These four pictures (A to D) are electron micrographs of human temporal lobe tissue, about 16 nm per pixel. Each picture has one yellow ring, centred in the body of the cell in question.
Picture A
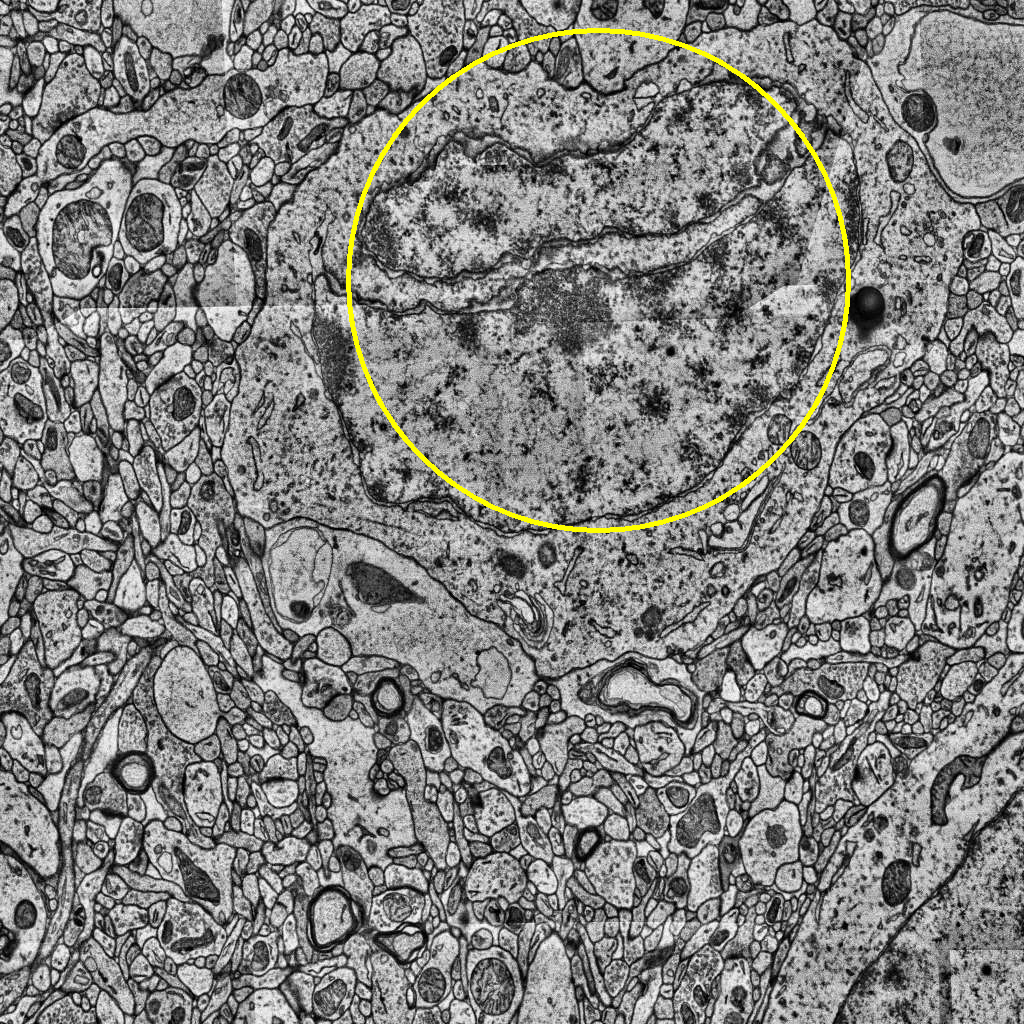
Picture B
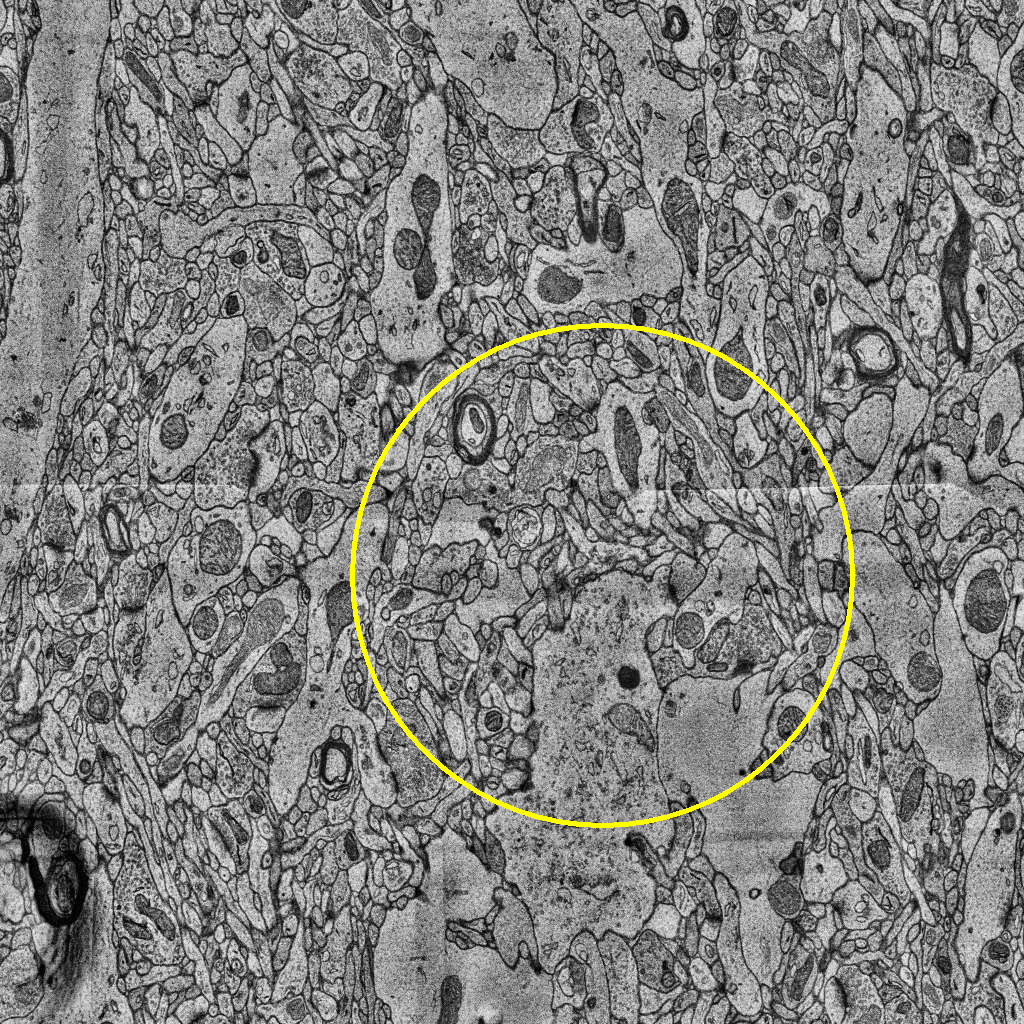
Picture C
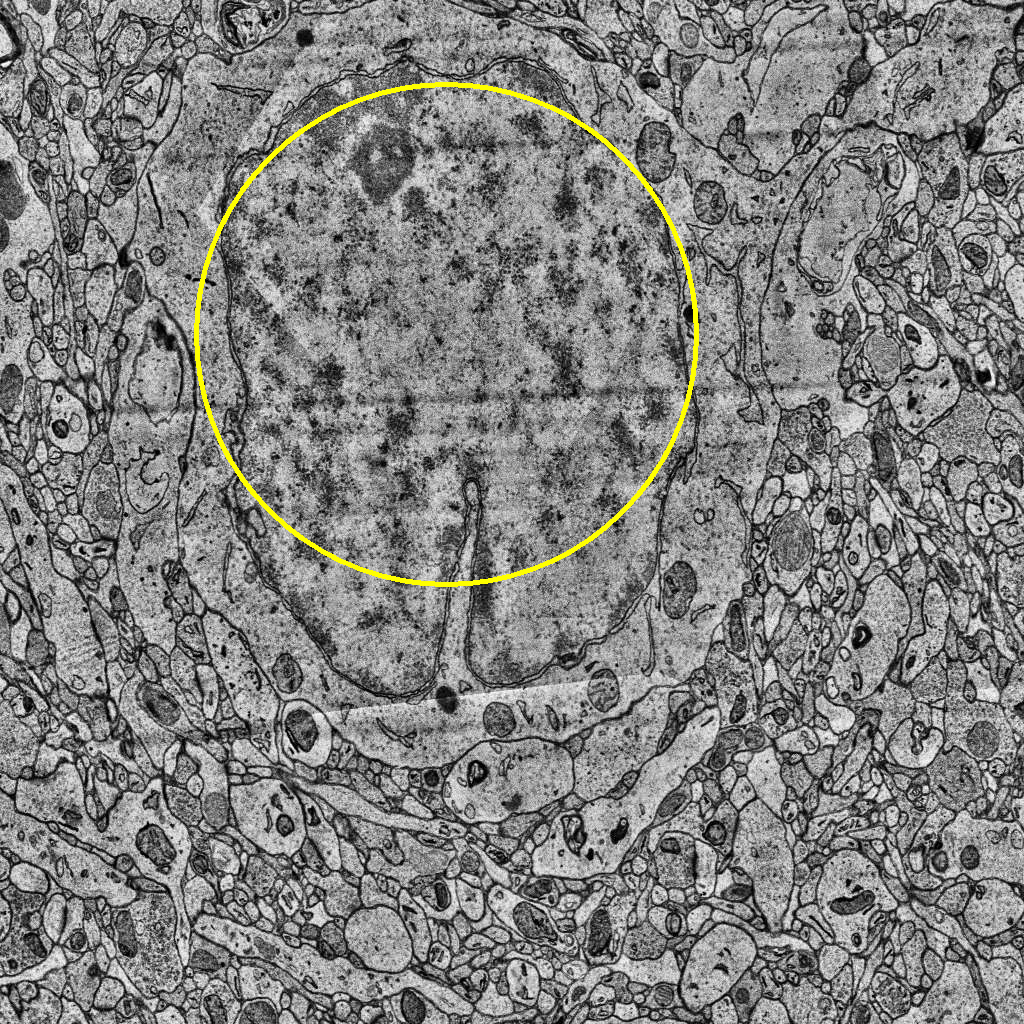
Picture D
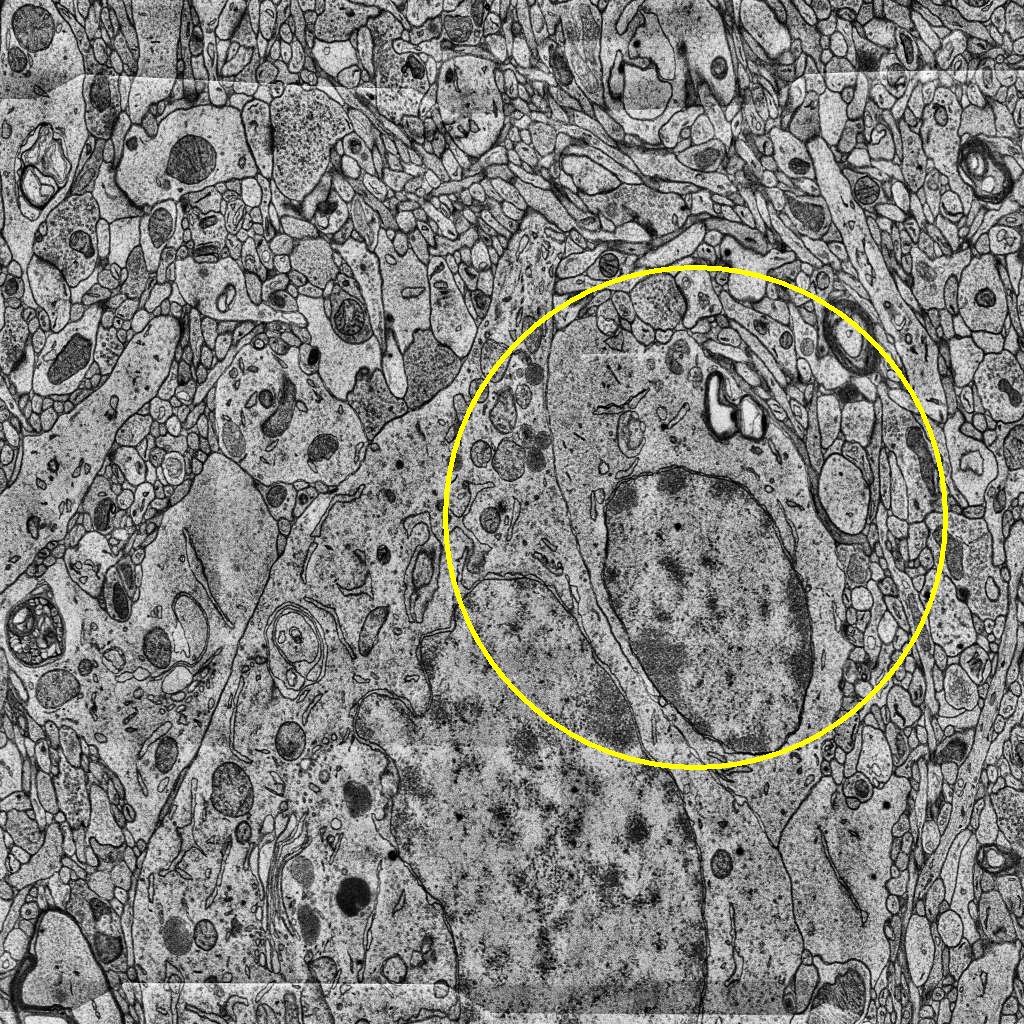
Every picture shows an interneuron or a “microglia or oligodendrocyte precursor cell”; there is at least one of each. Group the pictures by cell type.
Pictures A, B and C show interneurons, while picture D shows a “microglia or oligodendrocyte precursor cell”.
